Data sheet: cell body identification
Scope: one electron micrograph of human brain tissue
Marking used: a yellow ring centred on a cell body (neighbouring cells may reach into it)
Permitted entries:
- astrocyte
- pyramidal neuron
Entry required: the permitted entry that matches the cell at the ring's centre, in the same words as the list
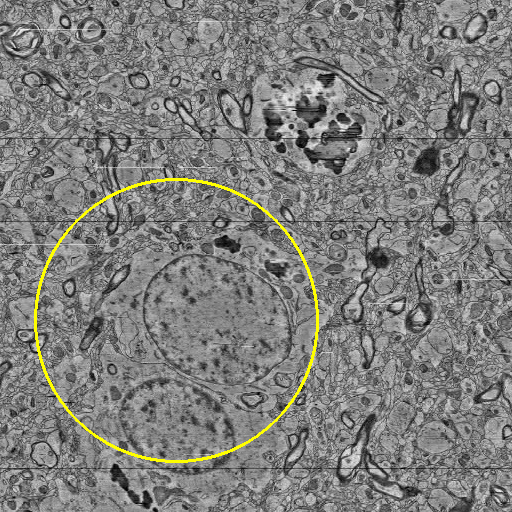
astrocyte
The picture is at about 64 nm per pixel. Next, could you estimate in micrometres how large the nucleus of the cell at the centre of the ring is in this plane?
Approximately 10 by 8 micrometers in this plane.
